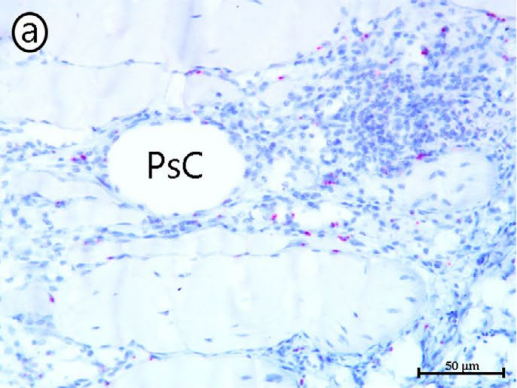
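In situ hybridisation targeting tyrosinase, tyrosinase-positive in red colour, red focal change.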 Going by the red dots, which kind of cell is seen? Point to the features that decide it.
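Small red dots are scattered among the cells. No brown or black pigment is seen with the red dots. So: amelanotic cells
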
